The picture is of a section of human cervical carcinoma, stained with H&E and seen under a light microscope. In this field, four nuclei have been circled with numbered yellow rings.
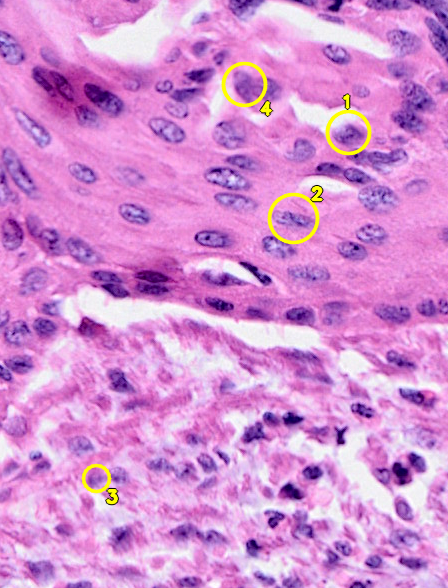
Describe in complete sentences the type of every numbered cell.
Cell 1 is a squamous carcinoma cell, cell 2 is a squamous carcinoma cell, cell 3 is a fibroblast and cell 4 is a squamous carcinoma cell.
